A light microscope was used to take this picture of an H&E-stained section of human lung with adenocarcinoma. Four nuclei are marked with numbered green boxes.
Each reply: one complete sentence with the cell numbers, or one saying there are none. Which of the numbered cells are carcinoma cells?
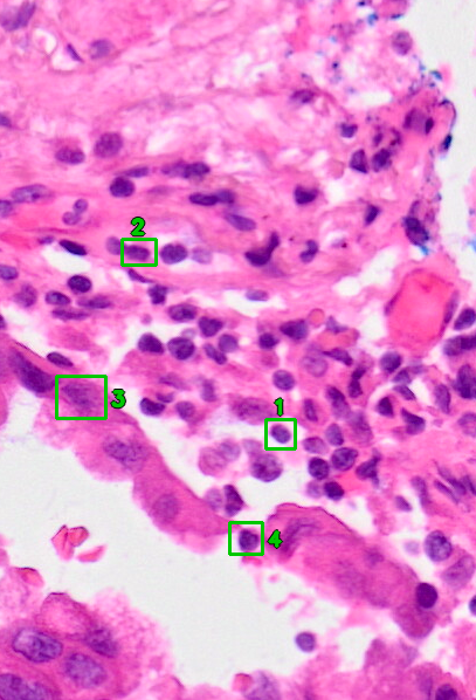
Among the marked cells, a carcinoma cell is found only at number 3.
